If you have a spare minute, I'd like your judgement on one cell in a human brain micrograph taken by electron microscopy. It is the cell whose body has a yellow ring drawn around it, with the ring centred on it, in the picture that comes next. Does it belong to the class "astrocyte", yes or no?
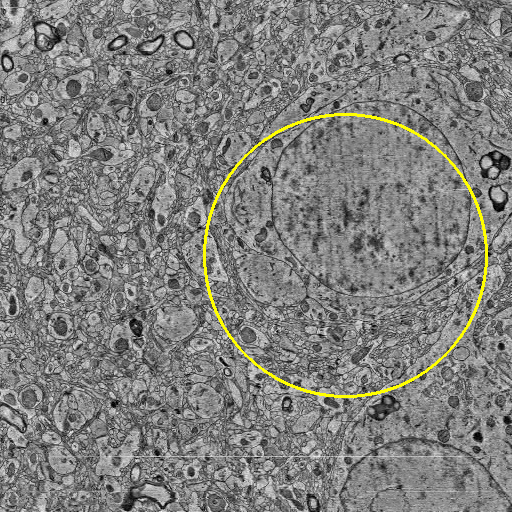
No, it belongs to another class.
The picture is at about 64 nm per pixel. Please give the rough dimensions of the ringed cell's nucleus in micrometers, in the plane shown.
Roughly 13 micrometers across in this plane.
